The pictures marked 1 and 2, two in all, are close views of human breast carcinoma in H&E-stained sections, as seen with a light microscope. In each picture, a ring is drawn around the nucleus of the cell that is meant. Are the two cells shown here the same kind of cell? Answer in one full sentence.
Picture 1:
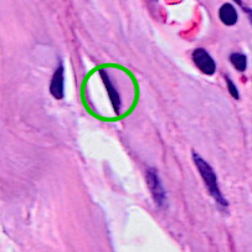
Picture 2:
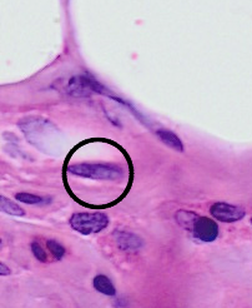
No; the cell in picture 1 is a fibroblast, while the one in picture 2 is an endothelial cell.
